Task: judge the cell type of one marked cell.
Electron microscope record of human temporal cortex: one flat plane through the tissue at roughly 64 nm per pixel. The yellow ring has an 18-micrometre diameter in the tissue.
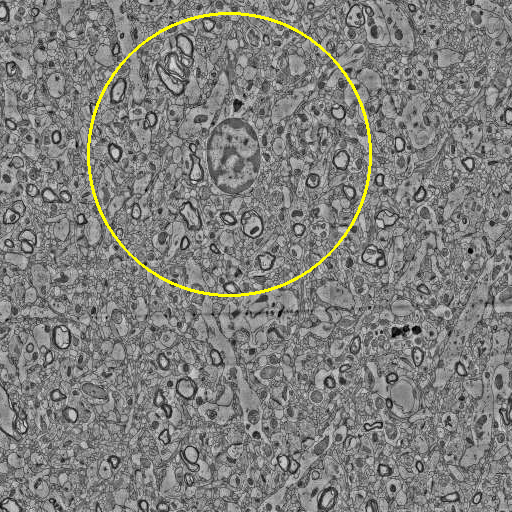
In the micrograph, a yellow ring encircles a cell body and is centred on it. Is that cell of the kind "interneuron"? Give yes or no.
no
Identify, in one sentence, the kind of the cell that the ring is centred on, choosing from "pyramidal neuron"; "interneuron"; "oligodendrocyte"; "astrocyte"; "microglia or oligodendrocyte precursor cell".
Instead, the cell at the centre of the yellow ring is a microglial cell or oligodendrocyte precursor cell.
